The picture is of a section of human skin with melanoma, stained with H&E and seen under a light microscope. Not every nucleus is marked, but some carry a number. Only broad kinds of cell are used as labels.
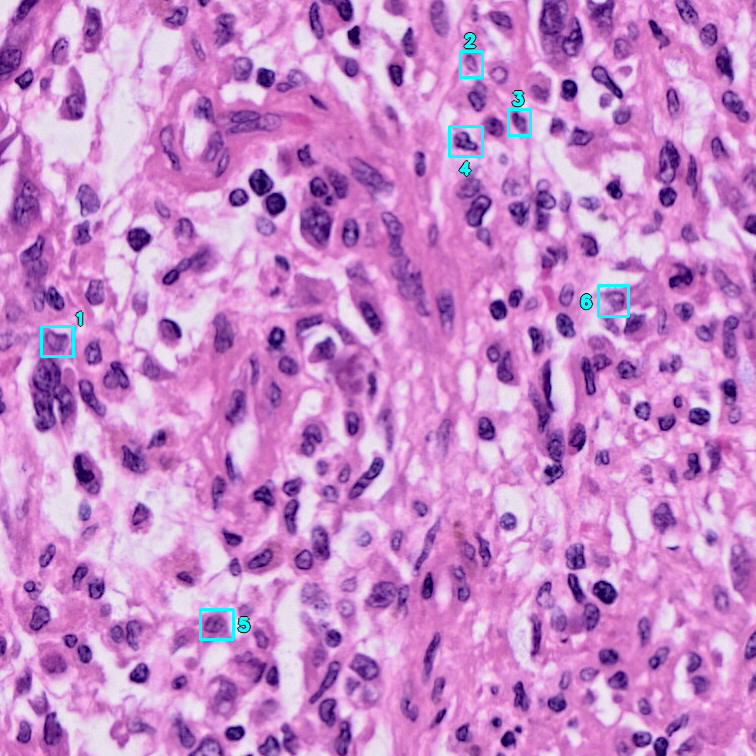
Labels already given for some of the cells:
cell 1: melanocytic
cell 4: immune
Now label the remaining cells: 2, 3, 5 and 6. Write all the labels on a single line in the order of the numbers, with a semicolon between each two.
immune; immune; immune; melanocytic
